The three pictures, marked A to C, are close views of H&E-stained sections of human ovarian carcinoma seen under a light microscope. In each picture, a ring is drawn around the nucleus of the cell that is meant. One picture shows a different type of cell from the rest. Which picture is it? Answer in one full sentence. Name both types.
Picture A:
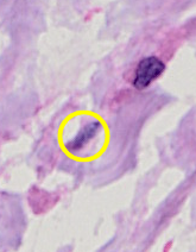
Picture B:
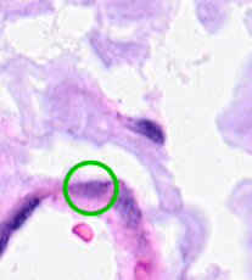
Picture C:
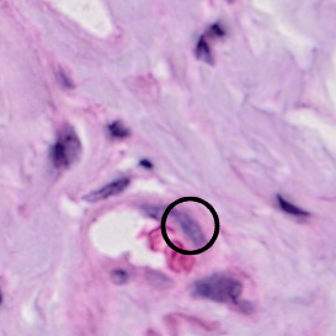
All pictures except A show endothelial cells; picture A shows a fibroblast.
